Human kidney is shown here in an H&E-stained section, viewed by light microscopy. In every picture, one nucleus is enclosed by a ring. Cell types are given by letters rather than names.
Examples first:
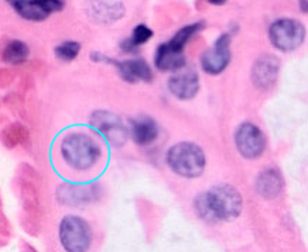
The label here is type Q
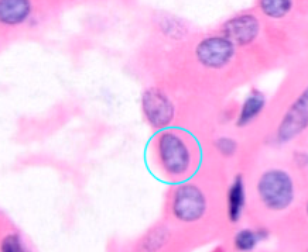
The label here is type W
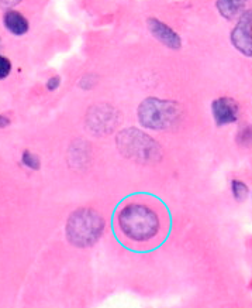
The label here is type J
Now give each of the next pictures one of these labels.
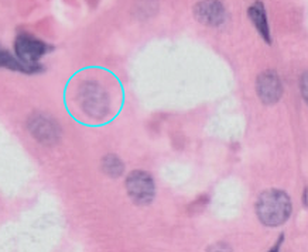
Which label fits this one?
type J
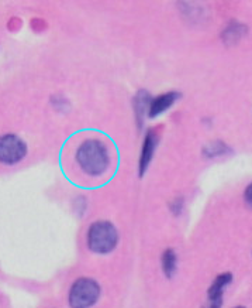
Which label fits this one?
type W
